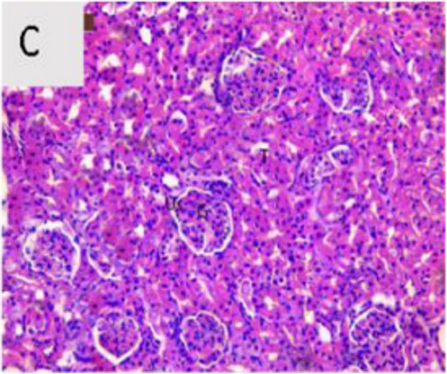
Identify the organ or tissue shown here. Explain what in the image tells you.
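Kidney. Several round glomeruli lie scattered among tubules. Each glomerulus is a tuft of nuclei ringed by a thin clear space and a capsule. Many cross-sectioned tubules with pink cytoplasm and small lumens fill the field.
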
